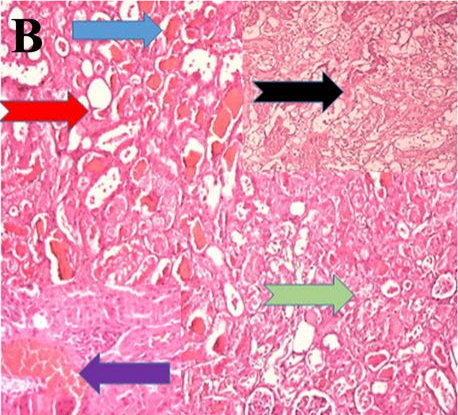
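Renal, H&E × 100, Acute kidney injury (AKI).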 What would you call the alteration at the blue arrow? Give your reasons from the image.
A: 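Many tubule lumens are filled with homogeneous deep pink material. The pink material has smooth edges that follow the tubule outline. The answer: intra-tubular cast.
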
